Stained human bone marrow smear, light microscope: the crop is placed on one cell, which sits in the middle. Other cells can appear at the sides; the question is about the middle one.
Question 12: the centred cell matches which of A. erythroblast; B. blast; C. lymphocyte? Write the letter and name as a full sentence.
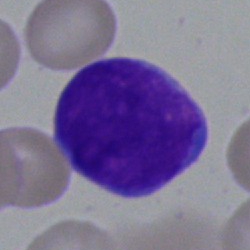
What option B states is correct, the central cell being a blast.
